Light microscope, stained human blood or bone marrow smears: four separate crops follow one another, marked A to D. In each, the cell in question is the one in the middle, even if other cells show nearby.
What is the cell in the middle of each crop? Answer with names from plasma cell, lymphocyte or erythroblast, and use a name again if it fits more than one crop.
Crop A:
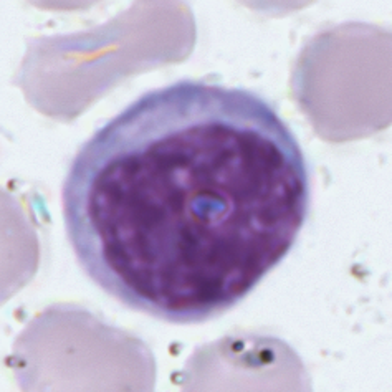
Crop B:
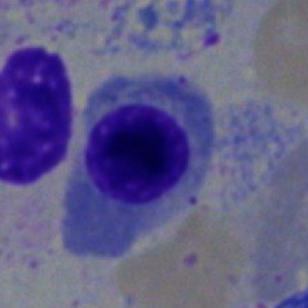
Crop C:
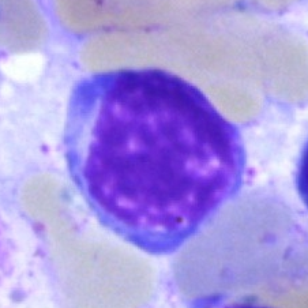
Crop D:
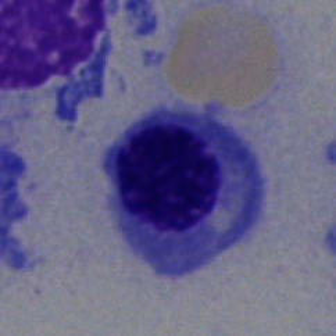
A: plasma cell
B: erythroblast
C: lymphocyte
D: erythroblast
